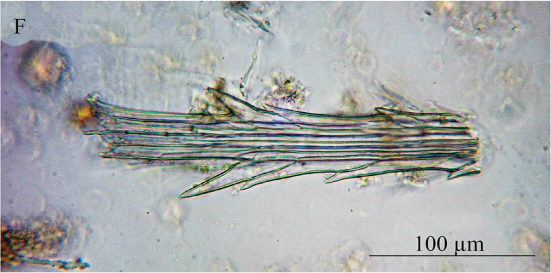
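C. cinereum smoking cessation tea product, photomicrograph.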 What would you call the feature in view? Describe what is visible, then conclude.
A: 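Pappus. A bundle of long narrow parallel cells. Free cell tips project sideways as sharp points.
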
